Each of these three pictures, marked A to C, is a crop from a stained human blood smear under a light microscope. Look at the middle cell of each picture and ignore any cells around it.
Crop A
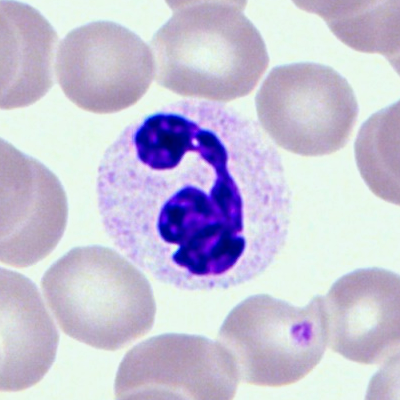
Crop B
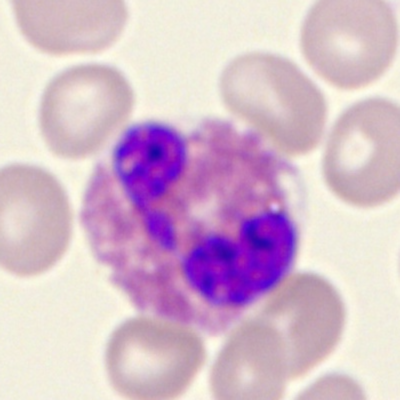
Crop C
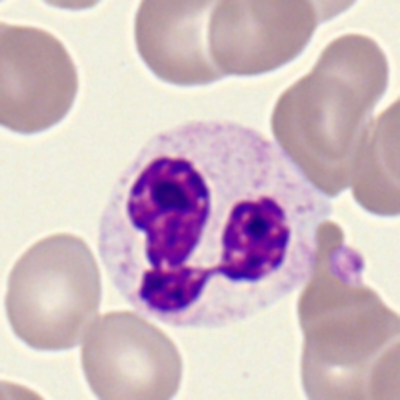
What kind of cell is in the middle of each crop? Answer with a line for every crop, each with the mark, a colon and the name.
A: neutrophil
B: eosinophil
C: neutrophil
